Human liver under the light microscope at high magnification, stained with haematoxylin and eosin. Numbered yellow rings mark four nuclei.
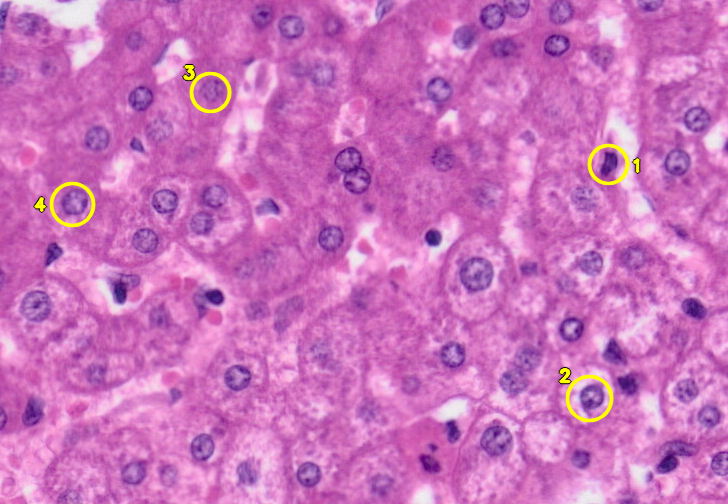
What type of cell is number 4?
hepatocyte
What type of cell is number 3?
hepatocyte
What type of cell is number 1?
Kupffer cell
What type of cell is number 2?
hepatocyte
